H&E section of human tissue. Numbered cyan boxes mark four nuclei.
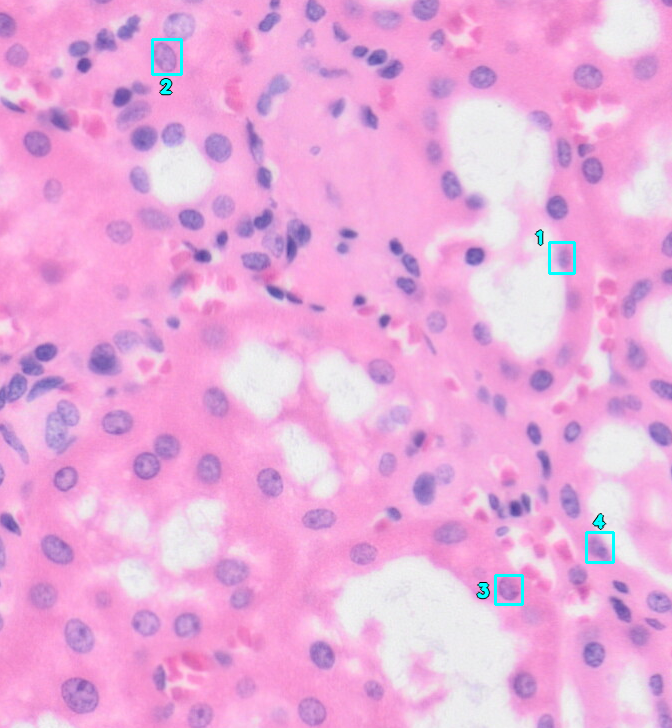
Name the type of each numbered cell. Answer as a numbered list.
1. loop of Henle or distal tubule cell
2. proximal tubule cell
3. proximal tubule cell
4. collecting duct cell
